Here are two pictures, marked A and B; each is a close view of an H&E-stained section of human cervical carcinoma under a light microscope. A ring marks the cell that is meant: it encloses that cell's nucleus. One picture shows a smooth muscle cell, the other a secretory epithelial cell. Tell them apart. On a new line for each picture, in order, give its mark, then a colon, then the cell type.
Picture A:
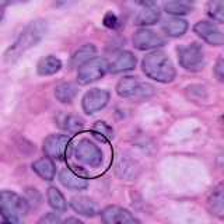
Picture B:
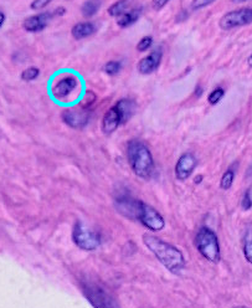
A: secretory epithelial cell
B: smooth muscle cell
